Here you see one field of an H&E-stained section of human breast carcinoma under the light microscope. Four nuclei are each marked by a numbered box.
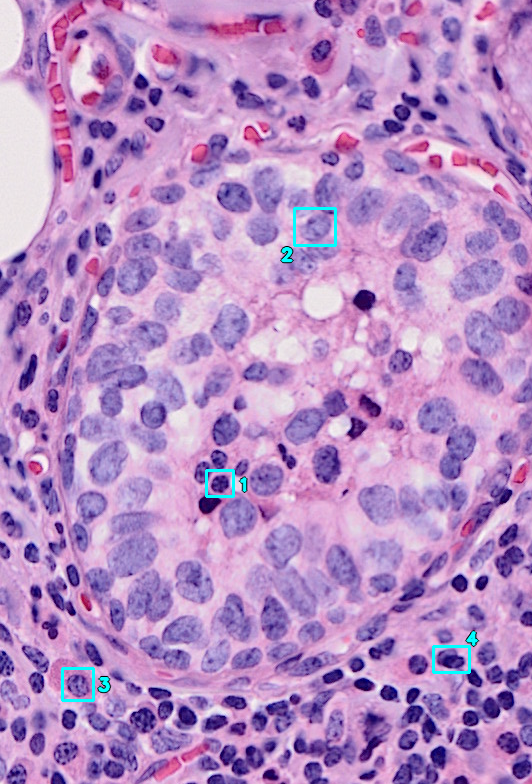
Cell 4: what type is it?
lymphocyte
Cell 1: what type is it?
lymphocyte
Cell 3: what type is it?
mast cell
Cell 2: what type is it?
carcinoma cell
